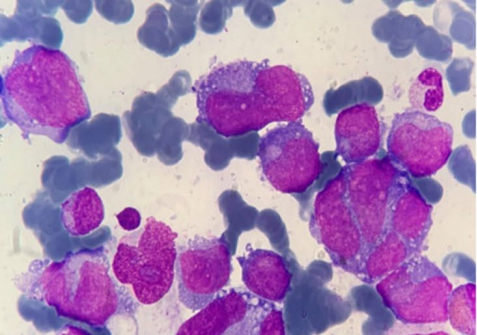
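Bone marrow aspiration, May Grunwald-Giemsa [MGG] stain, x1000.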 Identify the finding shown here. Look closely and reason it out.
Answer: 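Massive infiltration by large pleiomorphic cells. The field is crowded with large cells of varied size and shape. Nuclei are irregular, some folded or kidney-shaped. Few normal marrow cells are seen among them.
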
